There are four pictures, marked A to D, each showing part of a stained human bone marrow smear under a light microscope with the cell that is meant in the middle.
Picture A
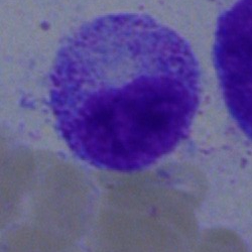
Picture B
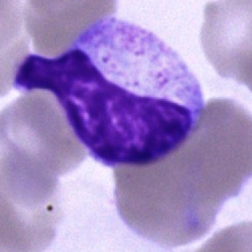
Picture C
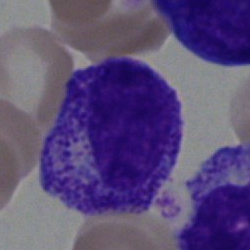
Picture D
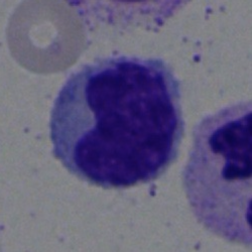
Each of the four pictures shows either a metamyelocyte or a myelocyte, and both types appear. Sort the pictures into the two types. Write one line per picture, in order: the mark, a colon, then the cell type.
A: myelocyte
B: metamyelocyte
C: myelocyte
D: metamyelocyte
